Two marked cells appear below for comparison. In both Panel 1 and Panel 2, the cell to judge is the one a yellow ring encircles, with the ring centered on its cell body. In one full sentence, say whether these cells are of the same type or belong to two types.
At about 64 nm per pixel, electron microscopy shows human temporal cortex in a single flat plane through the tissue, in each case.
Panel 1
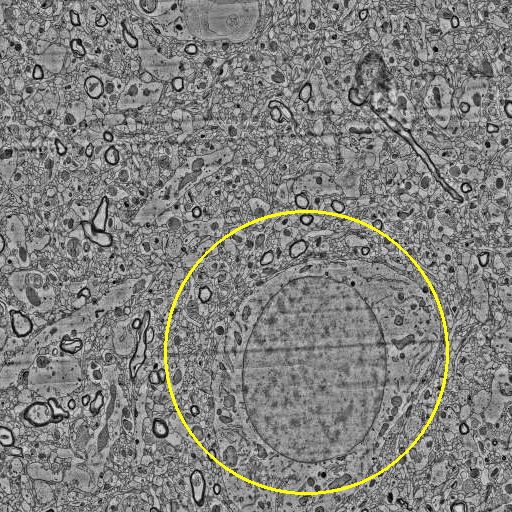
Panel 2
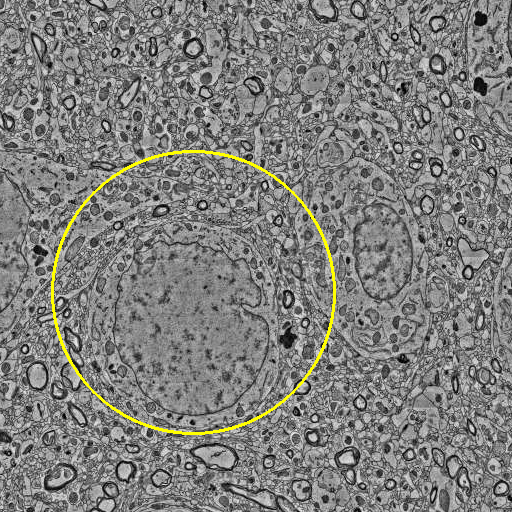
The cell centered in the Panel 1 ring and the one in Panel 2 belong to two types.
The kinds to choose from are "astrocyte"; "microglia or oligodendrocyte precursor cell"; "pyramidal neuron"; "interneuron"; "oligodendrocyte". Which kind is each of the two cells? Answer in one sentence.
Of the two, the first cell is an interneuron and the second cell is a pyramidal neuron.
